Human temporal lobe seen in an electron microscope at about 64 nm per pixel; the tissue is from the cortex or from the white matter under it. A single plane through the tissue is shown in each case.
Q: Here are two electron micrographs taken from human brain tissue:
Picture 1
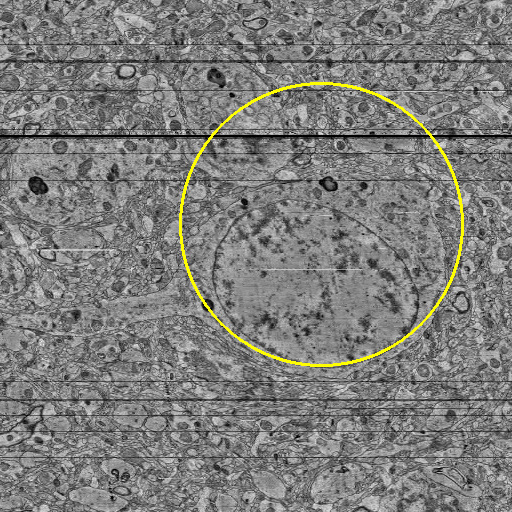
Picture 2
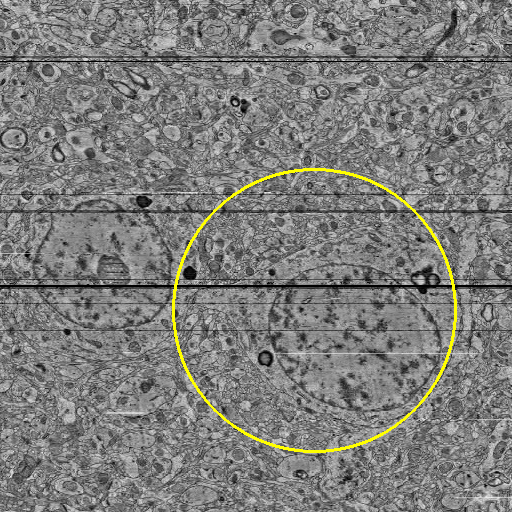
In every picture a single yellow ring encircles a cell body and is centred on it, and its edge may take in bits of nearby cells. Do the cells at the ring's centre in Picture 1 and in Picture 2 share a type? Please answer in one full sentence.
Yes, the cells at the ring's centre in Picture 1 and Picture 2 share a type.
